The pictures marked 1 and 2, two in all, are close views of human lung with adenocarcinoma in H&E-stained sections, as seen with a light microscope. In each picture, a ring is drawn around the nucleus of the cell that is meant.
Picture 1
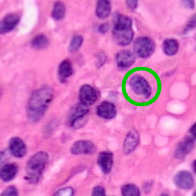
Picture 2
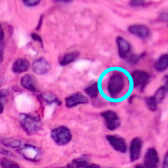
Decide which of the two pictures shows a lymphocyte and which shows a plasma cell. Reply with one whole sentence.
Picture 1 is of a lymphocyte, and picture 2 is of a plasma cell.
